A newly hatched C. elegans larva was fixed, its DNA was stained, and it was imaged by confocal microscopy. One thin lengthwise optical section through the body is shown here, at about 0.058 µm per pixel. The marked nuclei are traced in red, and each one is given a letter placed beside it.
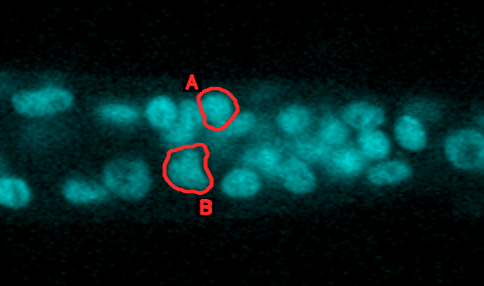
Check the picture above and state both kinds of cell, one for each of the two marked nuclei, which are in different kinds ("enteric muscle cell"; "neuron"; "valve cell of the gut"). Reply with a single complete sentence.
A is from a neuron, and B is from a valve cell of the gut.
